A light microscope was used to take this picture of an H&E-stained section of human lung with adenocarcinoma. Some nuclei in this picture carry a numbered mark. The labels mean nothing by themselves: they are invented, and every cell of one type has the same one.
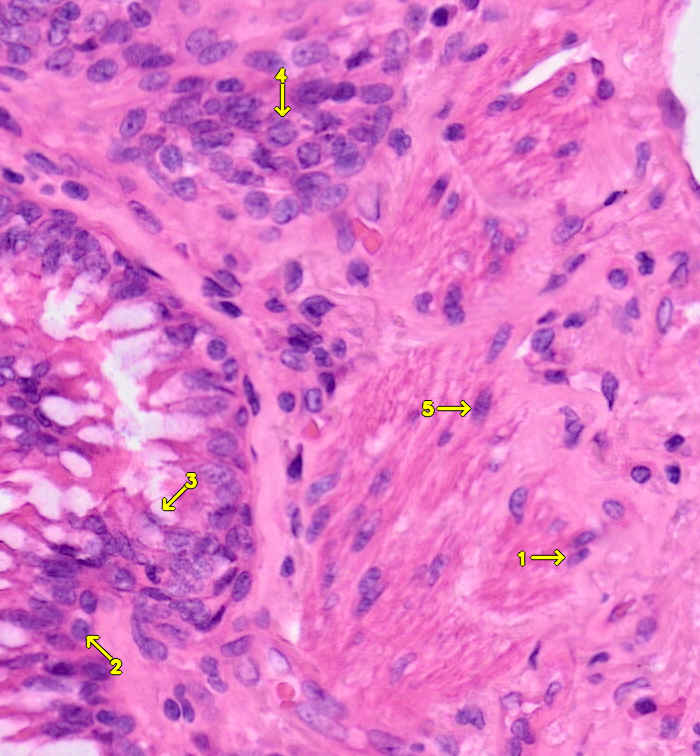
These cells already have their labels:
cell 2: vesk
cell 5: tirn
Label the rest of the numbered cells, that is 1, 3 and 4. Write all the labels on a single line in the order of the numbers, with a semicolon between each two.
tirn; vesk; vesk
